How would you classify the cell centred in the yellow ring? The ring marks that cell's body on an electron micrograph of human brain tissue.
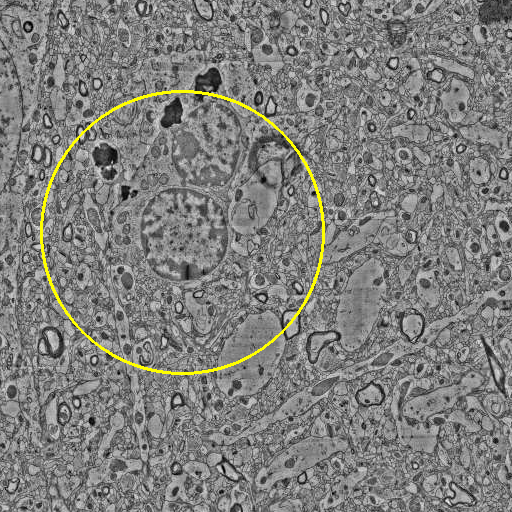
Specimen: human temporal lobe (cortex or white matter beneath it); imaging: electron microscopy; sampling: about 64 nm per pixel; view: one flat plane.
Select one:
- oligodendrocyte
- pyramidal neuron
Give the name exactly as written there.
oligodendrocyte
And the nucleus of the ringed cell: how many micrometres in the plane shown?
About 6 micrometres across in this plane, for the nucleus.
